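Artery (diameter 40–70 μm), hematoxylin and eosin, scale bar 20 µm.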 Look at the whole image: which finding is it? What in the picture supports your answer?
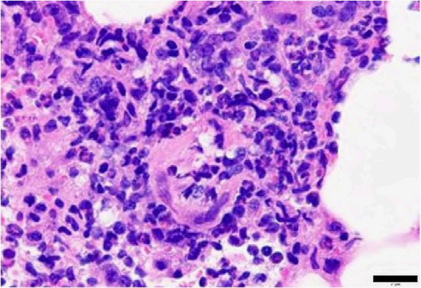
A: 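Proliferation of mesenchymal cells in the intraluminal space. The lumen of the central vessel is partly filled with cells. Dense sheets of small dark-nucleated cells surround the vessel.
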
